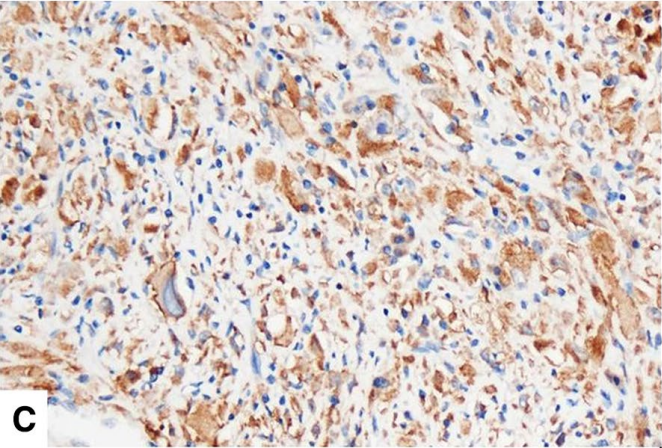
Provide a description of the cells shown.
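Spindle and plump tumor cells show strong brown cytoplasmic staining in a loose background. Small cells with round blue nuclei lie unstained between the brown cells.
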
